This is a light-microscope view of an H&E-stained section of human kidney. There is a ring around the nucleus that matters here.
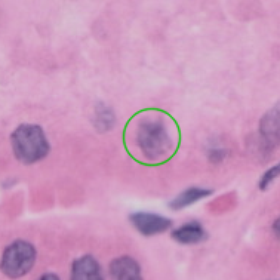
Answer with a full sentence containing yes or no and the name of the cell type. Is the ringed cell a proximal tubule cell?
Yes, within this tissue section, the ringed cell is a proximal tubule cell.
